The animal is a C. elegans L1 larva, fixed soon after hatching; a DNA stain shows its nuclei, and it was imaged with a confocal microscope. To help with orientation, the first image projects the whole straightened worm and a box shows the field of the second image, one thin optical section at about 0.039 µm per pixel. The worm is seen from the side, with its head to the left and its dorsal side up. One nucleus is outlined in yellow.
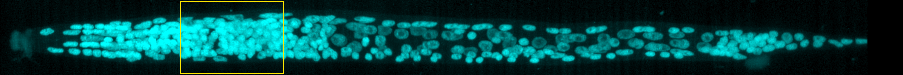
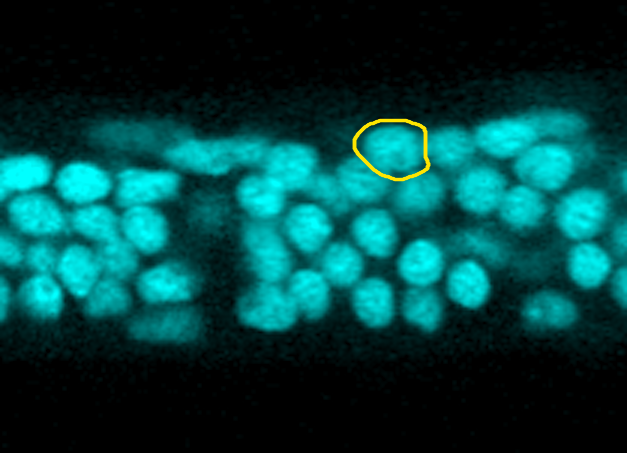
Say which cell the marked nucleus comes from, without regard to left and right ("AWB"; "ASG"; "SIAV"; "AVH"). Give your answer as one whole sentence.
This is the nucleus of AWB, a neuron.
